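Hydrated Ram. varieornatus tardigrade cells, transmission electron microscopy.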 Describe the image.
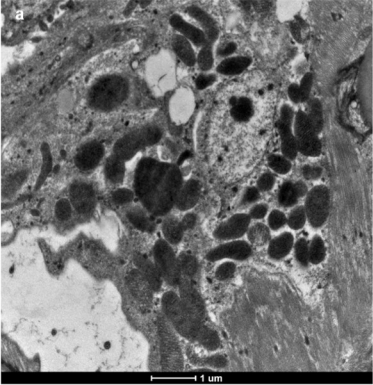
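The mitochondria are oval, rounded or short rod-shaped profiles, strongly electron-dense and dark grey to black, packed closely side by side; some show faint internal lamellae. Between them lies paler, finely granular cytoplasm with a few clear, rounded vacuole-like spaces. Toward the right the cytoplasm takes on a fibrous, finely striated texture, and at the lower left a large pale, almost empty region borders the cell. The mitochondria have smooth rounded outlines and stand out sharply against the lighter surroundings.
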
